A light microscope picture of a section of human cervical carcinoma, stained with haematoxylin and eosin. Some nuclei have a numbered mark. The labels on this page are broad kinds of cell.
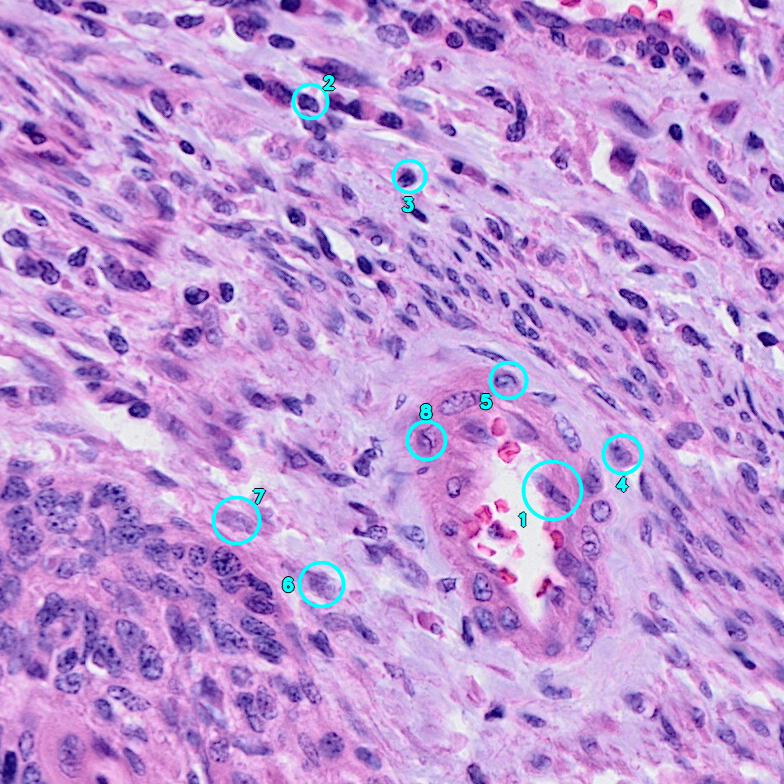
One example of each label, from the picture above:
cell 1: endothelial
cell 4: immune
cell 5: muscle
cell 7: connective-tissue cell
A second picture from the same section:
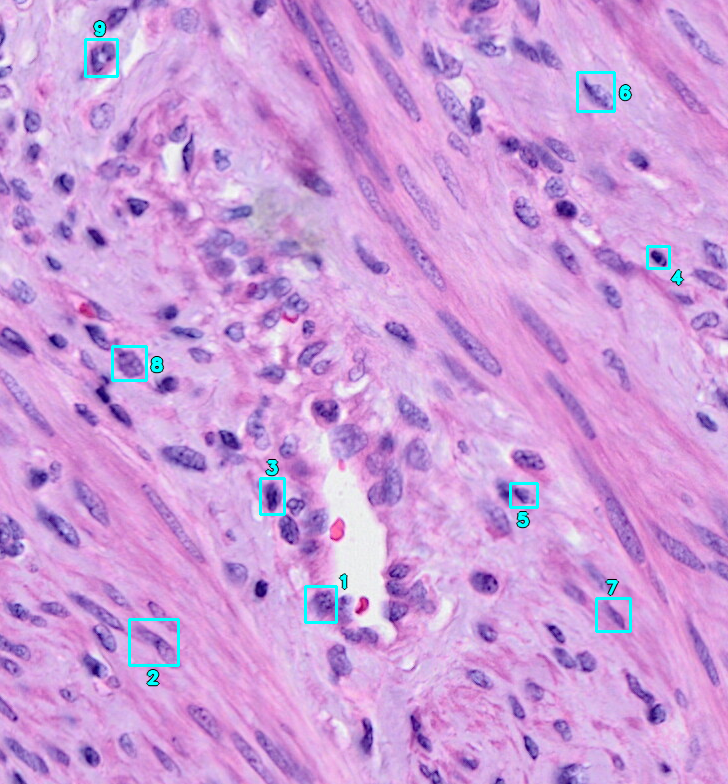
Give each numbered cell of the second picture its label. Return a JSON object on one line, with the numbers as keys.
{"1": "endothelial", "2": "muscle", "3": "immune", "4": "immune", "5": "immune", "6": "connective-tissue cell", "7": "muscle", "8": "immune", "9": "endothelial"}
